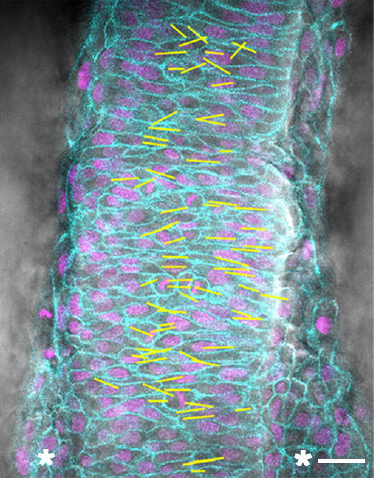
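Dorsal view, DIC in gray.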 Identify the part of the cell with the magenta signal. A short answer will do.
Nuclei.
